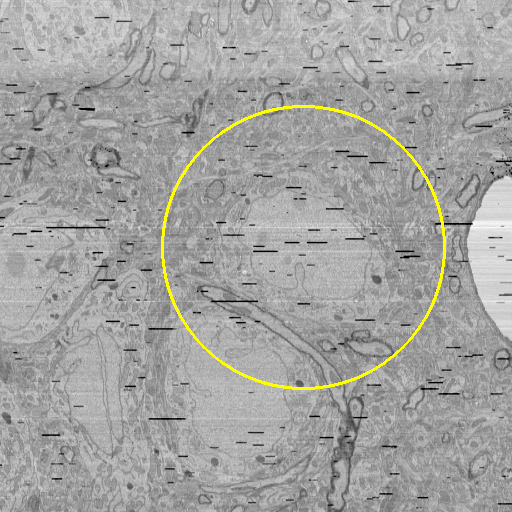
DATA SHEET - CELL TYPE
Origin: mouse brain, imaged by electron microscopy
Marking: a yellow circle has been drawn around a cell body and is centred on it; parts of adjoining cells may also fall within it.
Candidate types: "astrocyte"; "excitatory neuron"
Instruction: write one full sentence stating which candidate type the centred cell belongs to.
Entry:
The cell body at the centre of the yellow ring in this micrograph belongs to an excitatory neuron.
